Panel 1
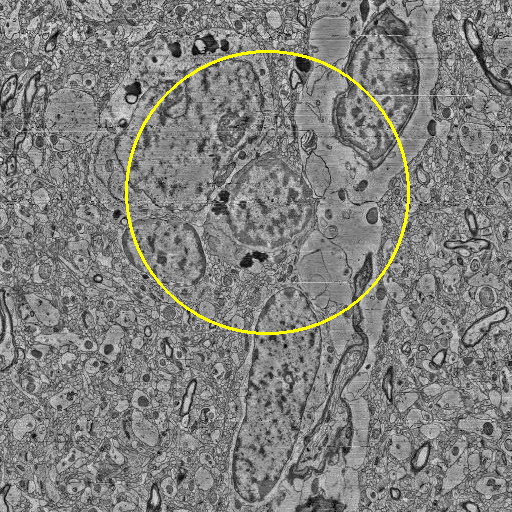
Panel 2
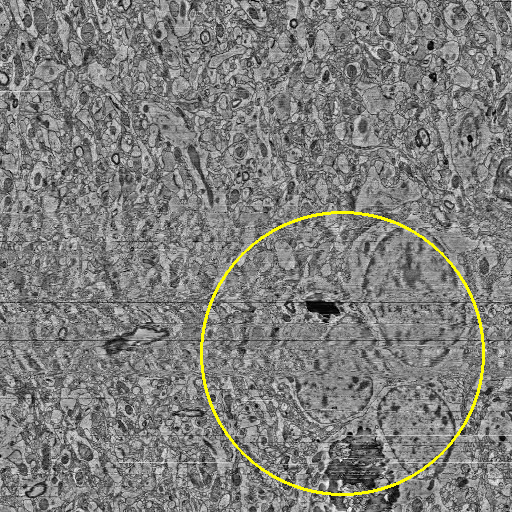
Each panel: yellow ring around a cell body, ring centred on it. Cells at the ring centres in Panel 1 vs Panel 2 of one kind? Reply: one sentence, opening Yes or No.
No, Panel 1 and Panel 2 have cells of two kinds at the ring centres.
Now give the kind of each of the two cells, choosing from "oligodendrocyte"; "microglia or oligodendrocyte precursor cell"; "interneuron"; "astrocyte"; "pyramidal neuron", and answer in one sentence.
The cell in the first picture is an oligodendrocyte, and the cell in the second is an astrocyte.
